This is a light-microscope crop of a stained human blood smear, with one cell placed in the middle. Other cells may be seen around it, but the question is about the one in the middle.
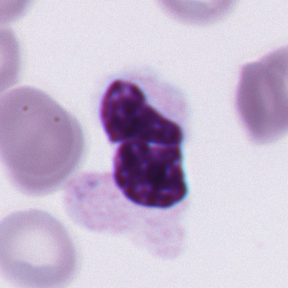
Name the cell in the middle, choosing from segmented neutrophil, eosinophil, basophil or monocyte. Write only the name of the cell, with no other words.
segmented neutrophil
